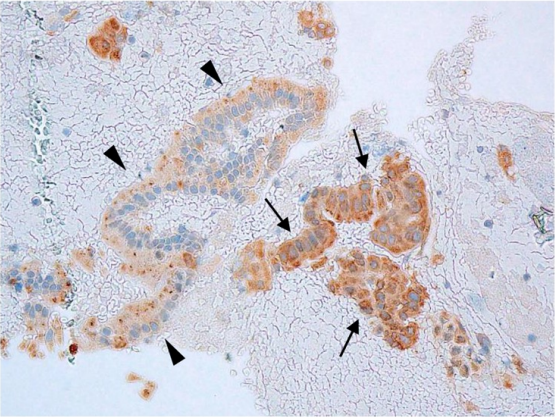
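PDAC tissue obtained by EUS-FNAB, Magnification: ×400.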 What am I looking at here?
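On the left a single orderly layer of duct epithelium lines a winding lumen; its cells have small round bluish nuclei and only light brown cytoplasm. To the right lie crowded, irregular clusters of larger cells with enlarged, unevenly placed nuclei, whose cytoplasm and borders are stained dense brown. Small detached groups of strongly brown cells lie scattered at the edges of the sample. The background is filled with pale outlines of red blood cells.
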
